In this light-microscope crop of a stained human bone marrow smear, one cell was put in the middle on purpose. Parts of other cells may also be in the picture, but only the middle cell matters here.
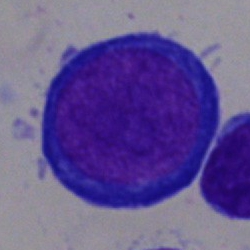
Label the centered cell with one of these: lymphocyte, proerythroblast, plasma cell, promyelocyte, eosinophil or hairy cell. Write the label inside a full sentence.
Within this crop, a proerythroblast occupies the central position.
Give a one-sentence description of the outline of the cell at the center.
The border of this cell runs smooth and free of any projections.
